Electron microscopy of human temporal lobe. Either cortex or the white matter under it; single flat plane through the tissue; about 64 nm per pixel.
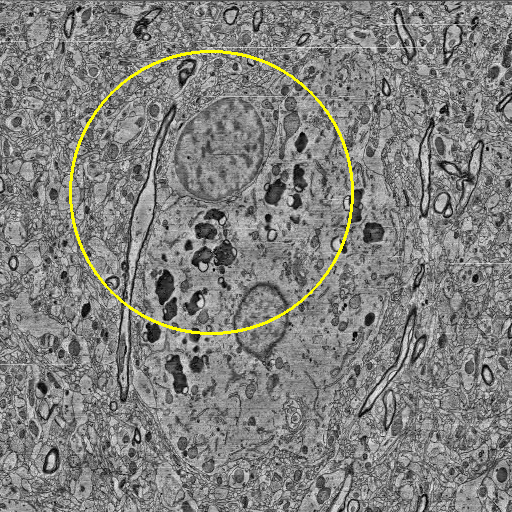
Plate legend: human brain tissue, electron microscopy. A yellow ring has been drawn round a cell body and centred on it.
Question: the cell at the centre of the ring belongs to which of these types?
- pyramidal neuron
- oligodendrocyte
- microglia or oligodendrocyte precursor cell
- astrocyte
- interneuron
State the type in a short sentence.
The cell in the middle of the ring is an oligodendrocyte.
